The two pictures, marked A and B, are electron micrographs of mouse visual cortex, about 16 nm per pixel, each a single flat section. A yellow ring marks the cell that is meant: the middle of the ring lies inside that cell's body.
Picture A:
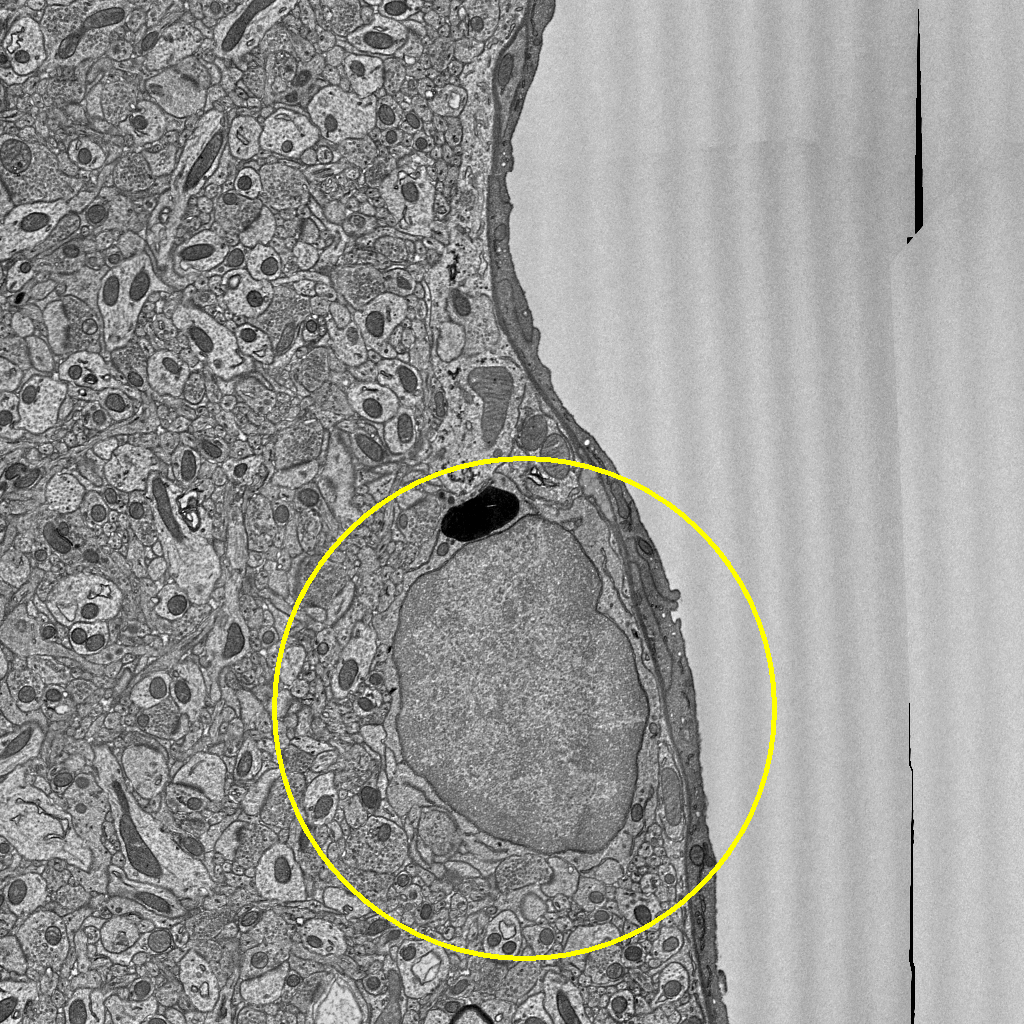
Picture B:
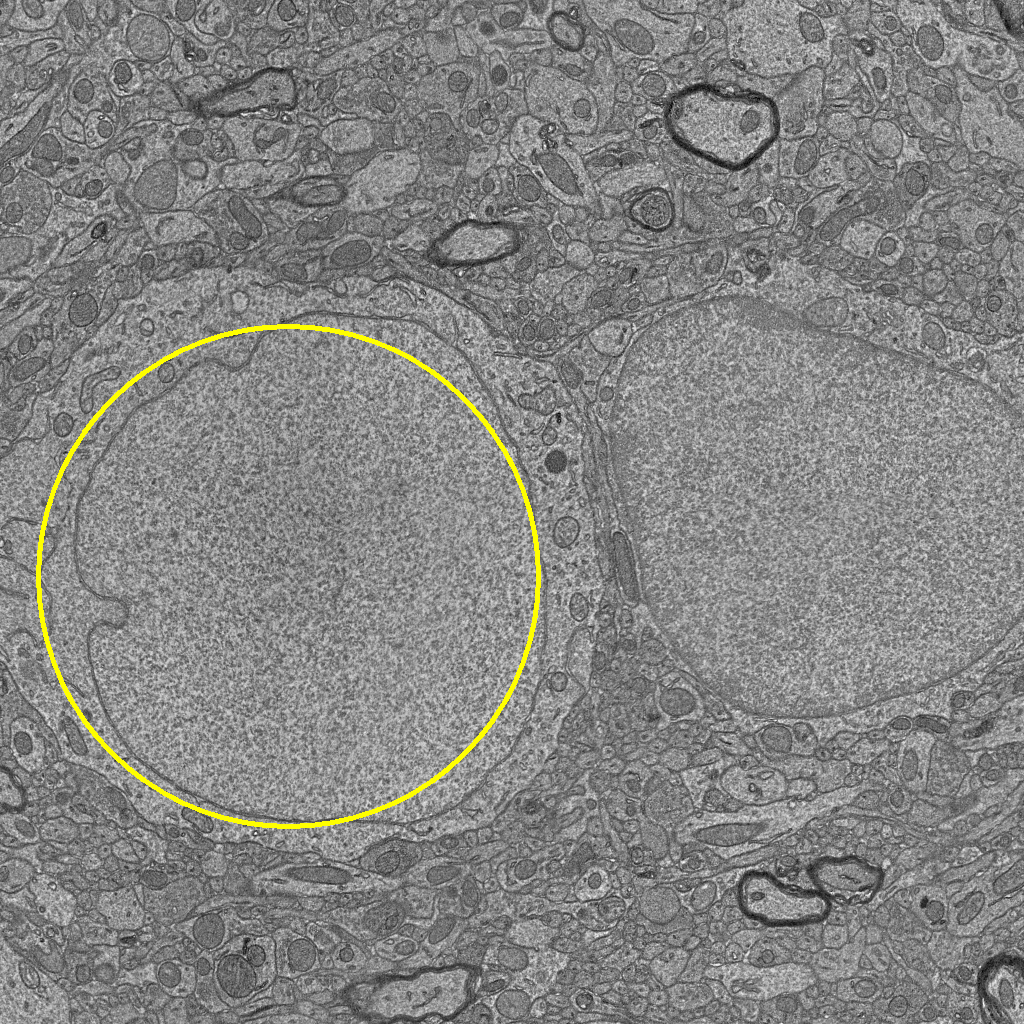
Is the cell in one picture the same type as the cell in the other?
No. Picture A shows a microglial cell, but picture B shows an excitatory neuron.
